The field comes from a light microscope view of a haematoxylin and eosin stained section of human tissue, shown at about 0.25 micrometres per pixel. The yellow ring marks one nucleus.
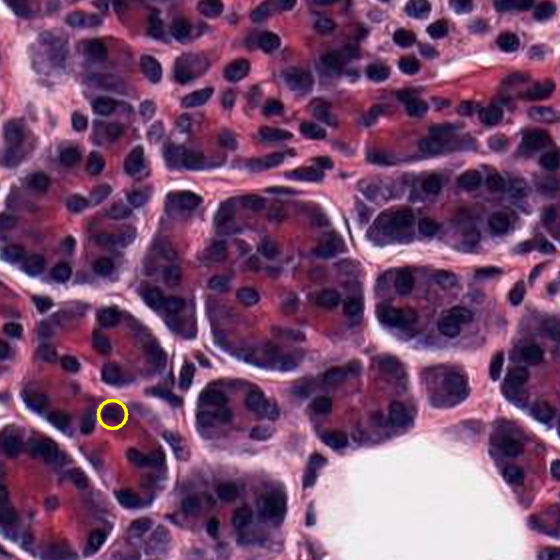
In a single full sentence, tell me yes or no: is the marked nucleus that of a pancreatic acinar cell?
Yes, the marked nucleus is that of a pancreatic acinar cell in this section.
